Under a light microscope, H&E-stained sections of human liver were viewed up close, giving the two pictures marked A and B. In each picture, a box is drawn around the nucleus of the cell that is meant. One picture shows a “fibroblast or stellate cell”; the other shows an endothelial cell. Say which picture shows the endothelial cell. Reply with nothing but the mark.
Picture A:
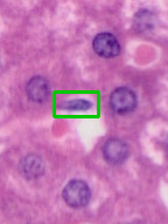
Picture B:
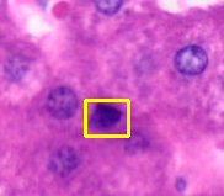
A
